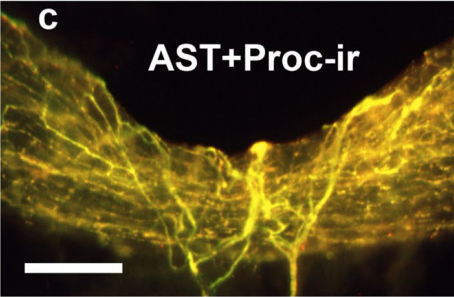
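Fluorescence overlay of a whole-mounted wing-shaped tissue traversed by a dense network of thin, beaded, branching nerve fibers that appear mostly yellow. Fibers fan out laterally across both halves and converge on thicker trunks in the middle, which descend toward the lower edge.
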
